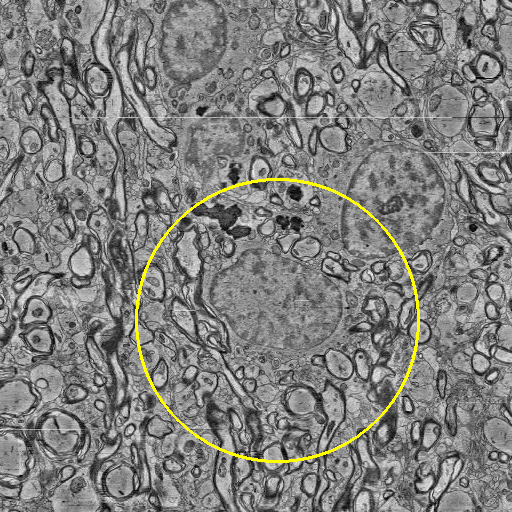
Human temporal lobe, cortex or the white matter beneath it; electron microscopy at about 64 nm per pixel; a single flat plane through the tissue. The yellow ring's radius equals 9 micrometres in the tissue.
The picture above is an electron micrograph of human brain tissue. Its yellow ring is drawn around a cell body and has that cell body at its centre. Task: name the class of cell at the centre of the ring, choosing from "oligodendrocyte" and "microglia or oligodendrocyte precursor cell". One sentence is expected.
The ring surrounds the body of an oligodendrocyte.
